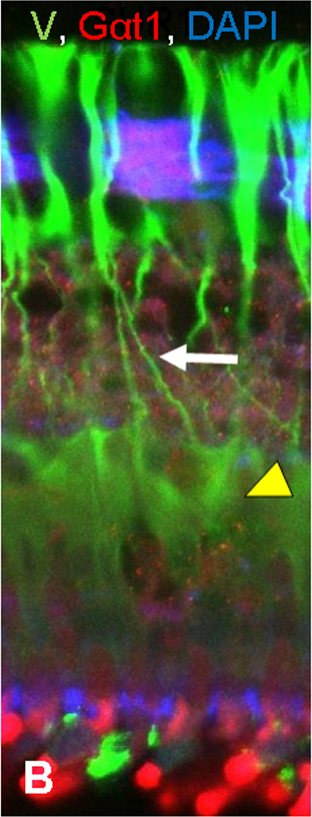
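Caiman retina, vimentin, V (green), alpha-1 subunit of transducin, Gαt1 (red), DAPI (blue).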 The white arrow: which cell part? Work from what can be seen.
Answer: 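Thin green radial fibres run vertically through the middle layer. The arrow points at one of these thin fibres below the blue nuclear band. The answer: stalk.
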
